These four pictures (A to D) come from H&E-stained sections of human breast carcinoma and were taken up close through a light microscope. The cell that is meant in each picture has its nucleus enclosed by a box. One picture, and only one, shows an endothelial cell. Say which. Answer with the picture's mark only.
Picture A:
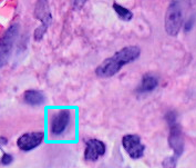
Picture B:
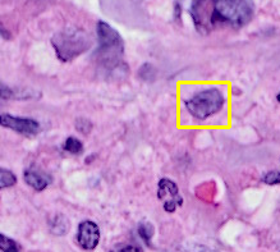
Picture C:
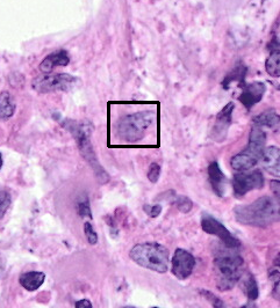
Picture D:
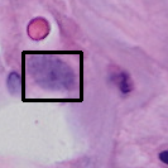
D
